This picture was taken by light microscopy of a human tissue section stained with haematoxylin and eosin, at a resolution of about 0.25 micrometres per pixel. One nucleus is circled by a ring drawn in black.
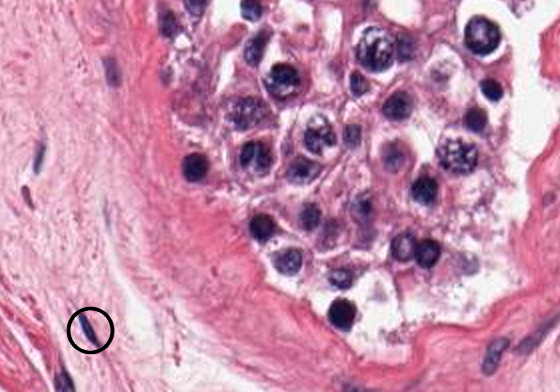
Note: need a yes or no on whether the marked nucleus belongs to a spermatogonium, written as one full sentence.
No, the cell that carries the marked nucleus is a supporting cell, not a spermatogonium.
